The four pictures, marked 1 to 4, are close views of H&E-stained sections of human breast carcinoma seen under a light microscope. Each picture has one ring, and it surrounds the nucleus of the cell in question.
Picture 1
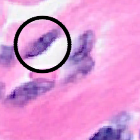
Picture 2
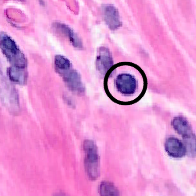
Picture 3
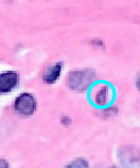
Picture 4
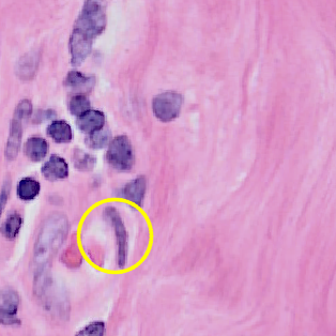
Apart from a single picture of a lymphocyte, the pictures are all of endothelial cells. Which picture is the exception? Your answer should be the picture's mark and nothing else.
2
